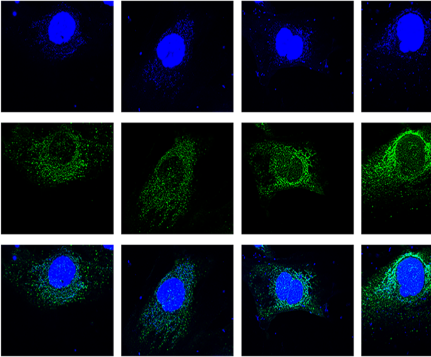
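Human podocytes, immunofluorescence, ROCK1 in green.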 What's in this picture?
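The green stain is granular and fills the cytoplasm around the nucleus, reaching out into the spread cell body. In some cells the green is much brighter and denser, especially close around the nucleus.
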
